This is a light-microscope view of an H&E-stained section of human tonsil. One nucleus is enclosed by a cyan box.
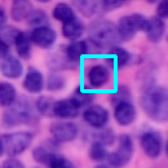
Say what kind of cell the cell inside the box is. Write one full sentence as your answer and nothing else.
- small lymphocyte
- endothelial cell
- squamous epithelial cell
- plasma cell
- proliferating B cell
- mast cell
Cytologically, the cell inside the box is to be regarded as a small lymphocyte.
